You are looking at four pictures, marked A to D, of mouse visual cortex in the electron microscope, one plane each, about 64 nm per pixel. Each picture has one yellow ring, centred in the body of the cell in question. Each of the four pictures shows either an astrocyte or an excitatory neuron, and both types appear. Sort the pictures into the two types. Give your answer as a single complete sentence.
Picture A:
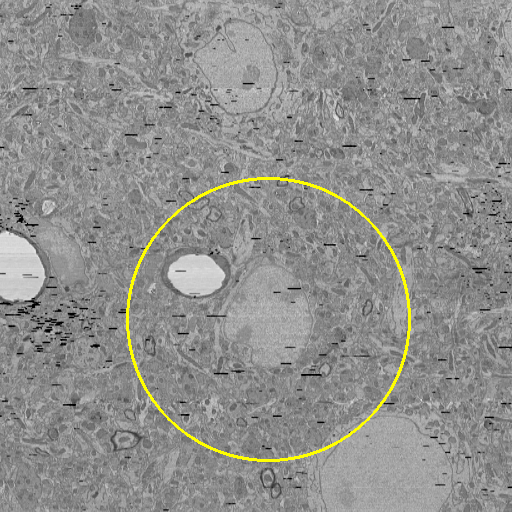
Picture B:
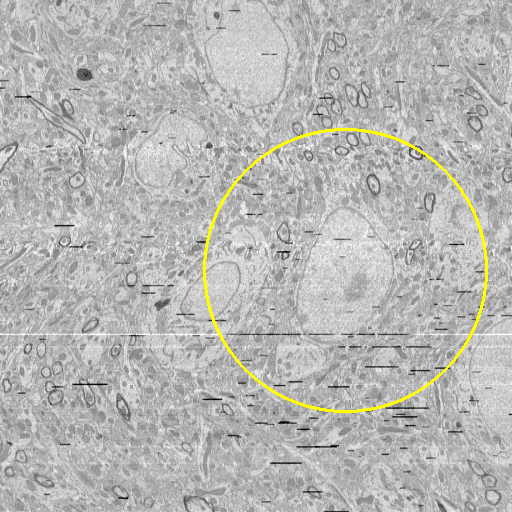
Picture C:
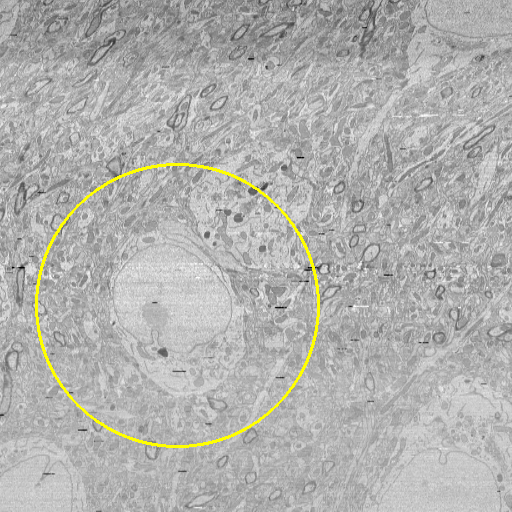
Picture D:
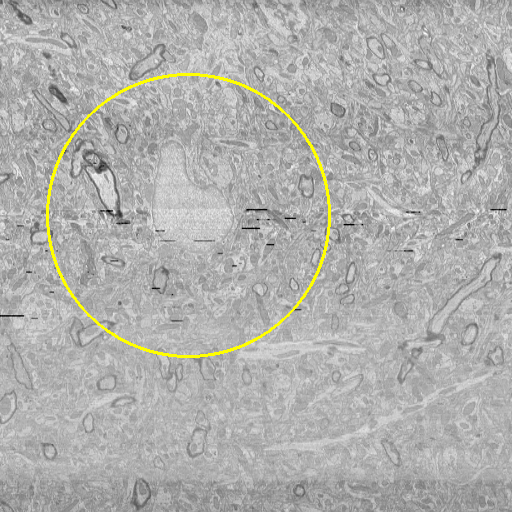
Pictures A, B and D show astrocytes; picture C shows an excitatory neuron.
